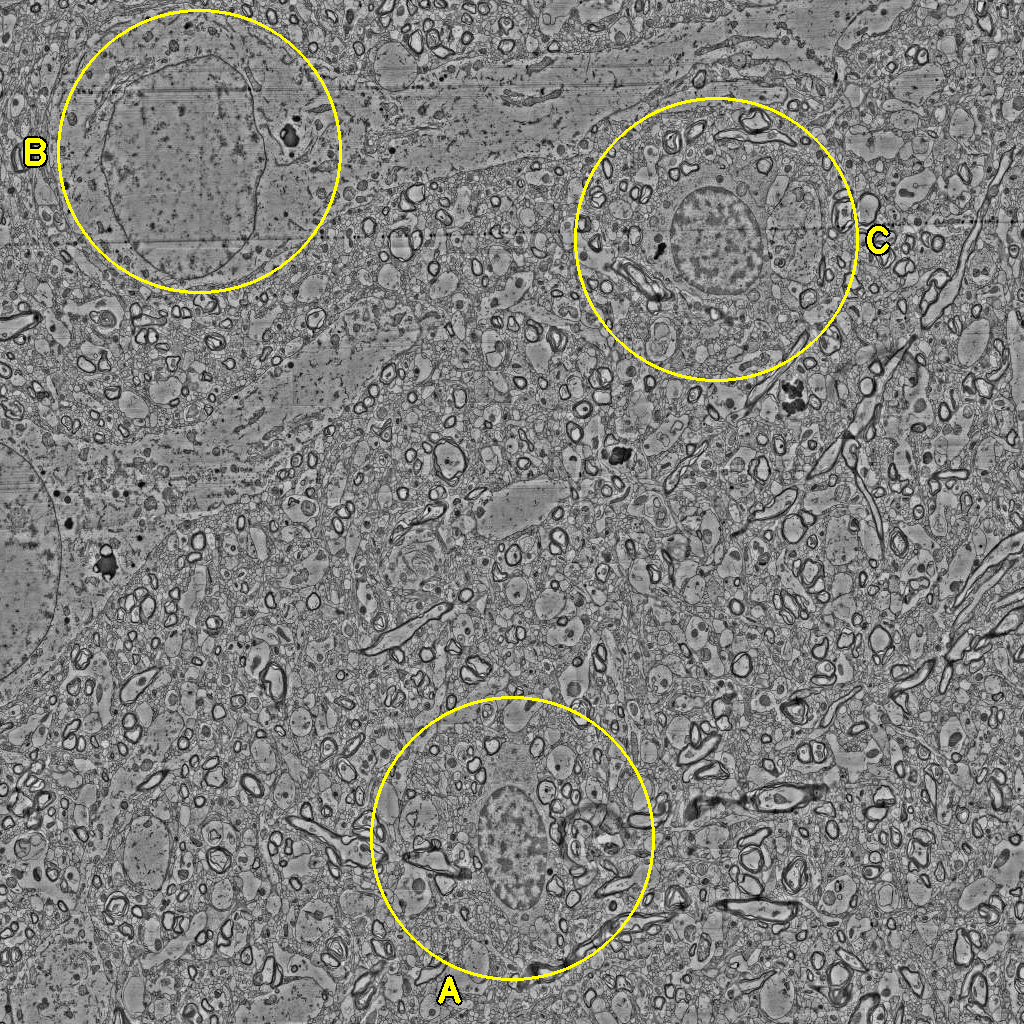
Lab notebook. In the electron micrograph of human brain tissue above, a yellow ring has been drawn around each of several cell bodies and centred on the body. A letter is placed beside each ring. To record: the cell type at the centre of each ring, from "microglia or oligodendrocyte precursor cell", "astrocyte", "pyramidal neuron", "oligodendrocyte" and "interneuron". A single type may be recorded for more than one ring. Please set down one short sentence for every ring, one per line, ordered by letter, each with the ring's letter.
The centre of ring A is occupied by an oligodendrocyte.
The centre of ring B is occupied by a pyramidal neuron.
The centre of ring C is occupied by an oligodendrocyte.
